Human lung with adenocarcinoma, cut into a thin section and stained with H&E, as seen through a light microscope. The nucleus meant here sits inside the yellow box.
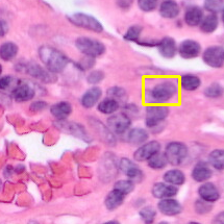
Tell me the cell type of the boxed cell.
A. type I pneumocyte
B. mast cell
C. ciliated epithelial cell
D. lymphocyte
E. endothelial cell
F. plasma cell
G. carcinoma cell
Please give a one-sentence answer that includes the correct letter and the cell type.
Option D is the one to take: the boxed cell is a lymphocyte.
